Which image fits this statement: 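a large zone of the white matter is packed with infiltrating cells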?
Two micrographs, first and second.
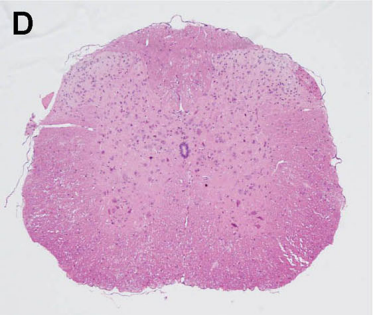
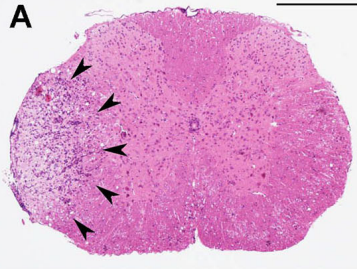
the second image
